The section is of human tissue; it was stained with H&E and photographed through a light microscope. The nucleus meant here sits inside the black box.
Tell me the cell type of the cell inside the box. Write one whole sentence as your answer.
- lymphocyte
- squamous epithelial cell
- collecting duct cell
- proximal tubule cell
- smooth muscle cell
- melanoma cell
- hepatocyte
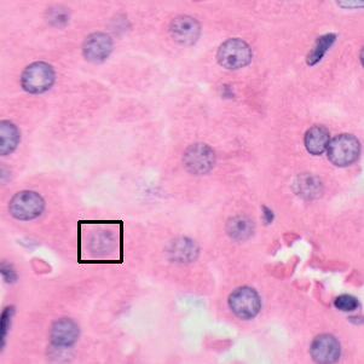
By cell type, the cell inside the box is a proximal tubule cell.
